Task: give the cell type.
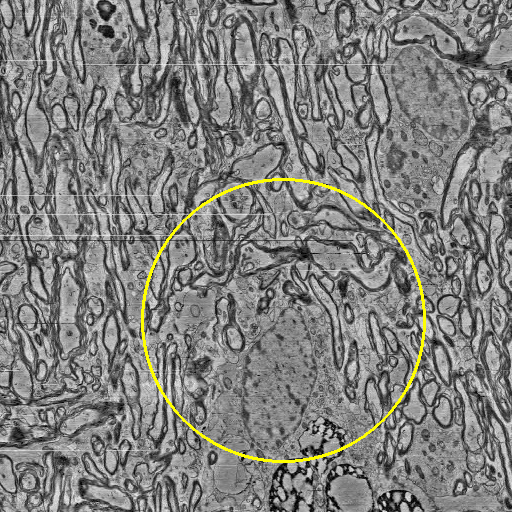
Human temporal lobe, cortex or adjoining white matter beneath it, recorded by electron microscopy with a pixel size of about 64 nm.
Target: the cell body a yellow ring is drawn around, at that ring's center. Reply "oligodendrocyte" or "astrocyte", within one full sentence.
In this picture, the cell whose body lies at the ring's center is an astrocyte.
